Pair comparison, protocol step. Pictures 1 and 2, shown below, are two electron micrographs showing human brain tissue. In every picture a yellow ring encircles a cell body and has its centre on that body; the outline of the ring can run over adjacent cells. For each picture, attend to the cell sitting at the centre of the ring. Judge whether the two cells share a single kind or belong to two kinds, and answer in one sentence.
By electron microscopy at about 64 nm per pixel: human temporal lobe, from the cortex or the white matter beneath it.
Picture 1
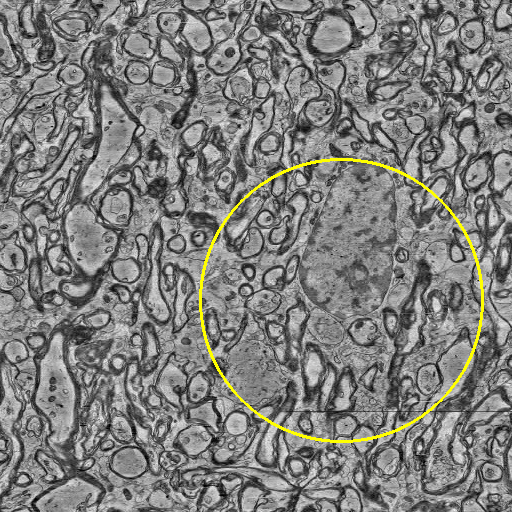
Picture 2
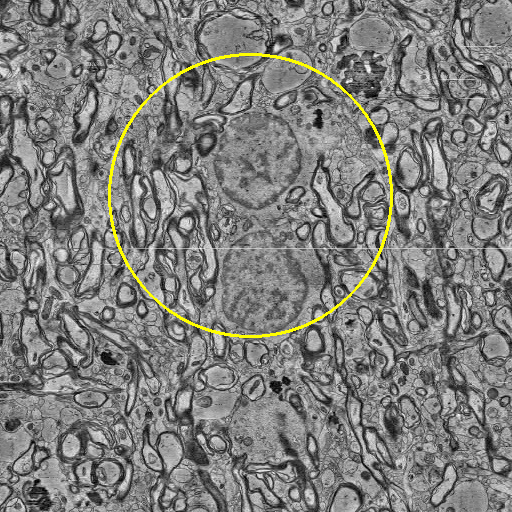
The two cells at the ring centres in Picture 1 and Picture 2 belong to two kinds.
